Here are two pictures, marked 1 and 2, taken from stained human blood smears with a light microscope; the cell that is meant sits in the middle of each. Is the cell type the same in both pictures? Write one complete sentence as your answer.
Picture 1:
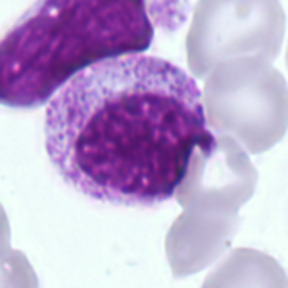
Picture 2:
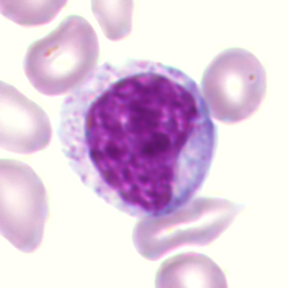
No, the types are not the same, since picture 1 shows a myelocyte and picture 2 a metamyelocyte.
